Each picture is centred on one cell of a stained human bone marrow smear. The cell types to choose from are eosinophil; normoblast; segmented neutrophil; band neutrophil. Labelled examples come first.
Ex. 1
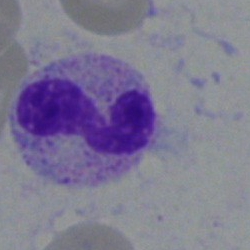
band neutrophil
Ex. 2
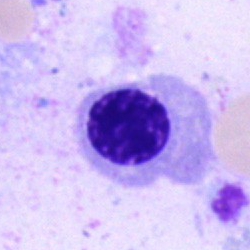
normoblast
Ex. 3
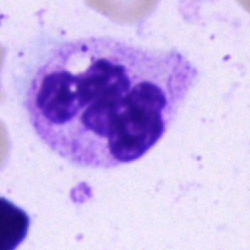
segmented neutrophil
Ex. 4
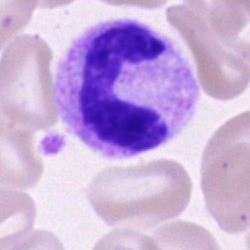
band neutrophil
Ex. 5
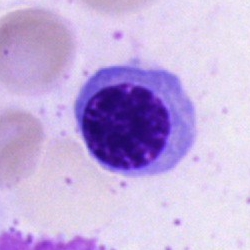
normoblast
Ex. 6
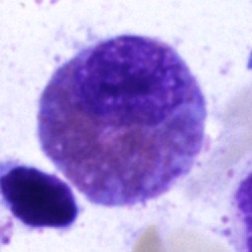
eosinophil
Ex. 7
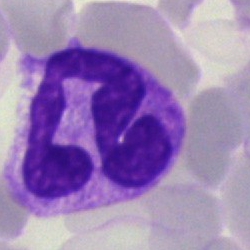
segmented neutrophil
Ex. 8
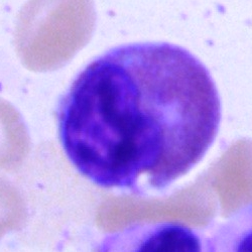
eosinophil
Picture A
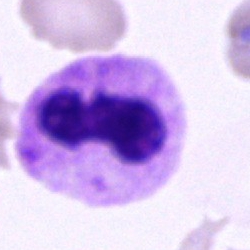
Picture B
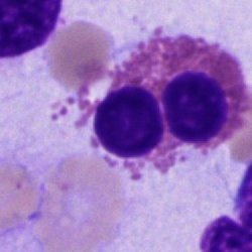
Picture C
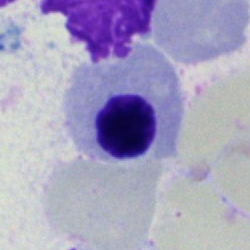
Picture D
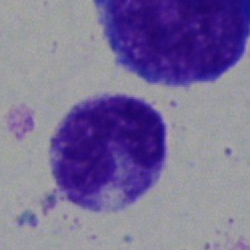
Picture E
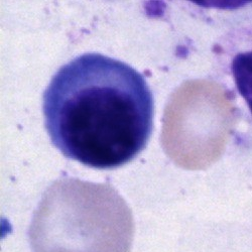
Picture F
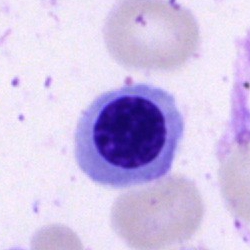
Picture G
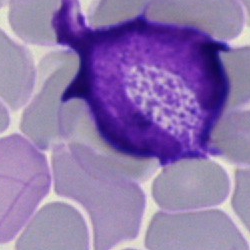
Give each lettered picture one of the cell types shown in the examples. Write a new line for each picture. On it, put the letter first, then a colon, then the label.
A: segmented neutrophil
B: eosinophil
C: normoblast
D: band neutrophil
E: normoblast
F: normoblast
G: band neutrophil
